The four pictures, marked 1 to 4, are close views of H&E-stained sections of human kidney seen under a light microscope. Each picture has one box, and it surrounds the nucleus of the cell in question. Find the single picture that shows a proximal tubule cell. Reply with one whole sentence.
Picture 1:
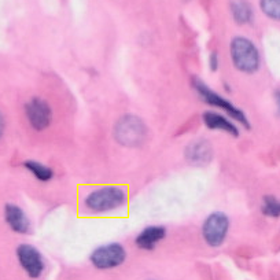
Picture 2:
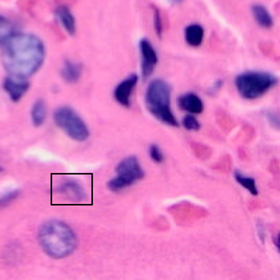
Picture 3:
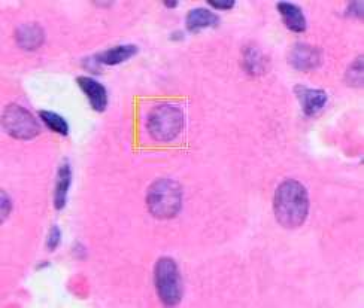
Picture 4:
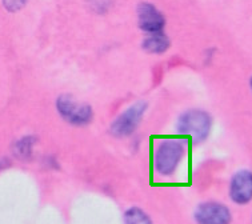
The picture with the proximal tubule cell is 3.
